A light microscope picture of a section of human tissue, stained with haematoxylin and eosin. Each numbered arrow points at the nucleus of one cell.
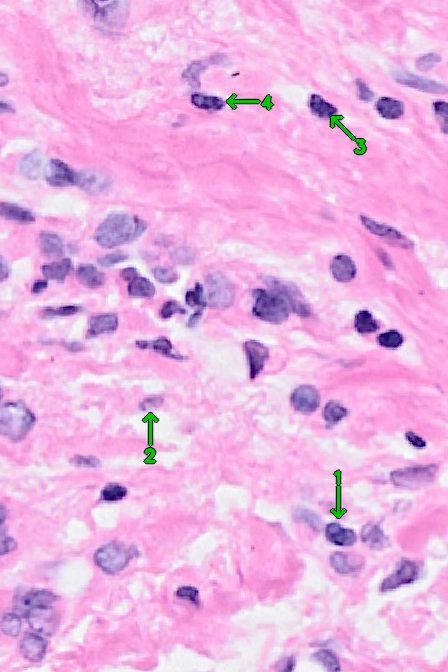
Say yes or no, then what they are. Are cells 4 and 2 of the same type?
No, cell 4 is a lymphocyte; cell 2, by contrast, is a fibroblast.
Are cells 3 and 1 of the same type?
Yes, the two numbered cells 3 and 1 are both lymphocytes.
